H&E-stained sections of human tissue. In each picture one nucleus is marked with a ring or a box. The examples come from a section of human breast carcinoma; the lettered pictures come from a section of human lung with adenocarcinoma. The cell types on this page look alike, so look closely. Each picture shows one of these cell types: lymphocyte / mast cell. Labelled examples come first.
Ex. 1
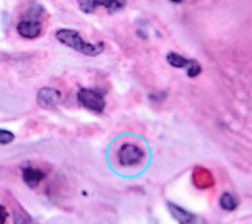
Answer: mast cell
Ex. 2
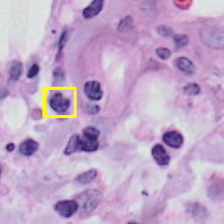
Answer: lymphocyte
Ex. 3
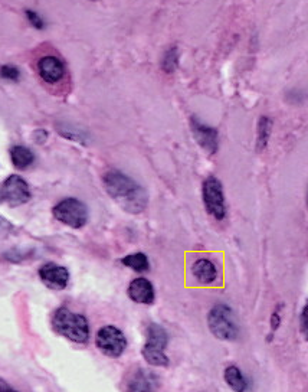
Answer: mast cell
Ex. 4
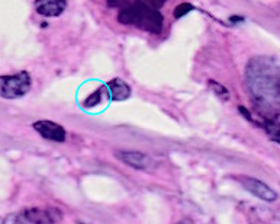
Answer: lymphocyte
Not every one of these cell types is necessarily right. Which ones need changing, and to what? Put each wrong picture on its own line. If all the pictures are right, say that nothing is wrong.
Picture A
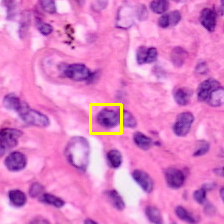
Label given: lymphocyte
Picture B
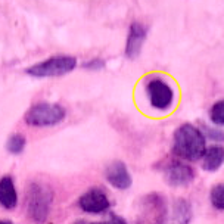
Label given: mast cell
Wrong: B (mast cell); correct: lymphocyte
